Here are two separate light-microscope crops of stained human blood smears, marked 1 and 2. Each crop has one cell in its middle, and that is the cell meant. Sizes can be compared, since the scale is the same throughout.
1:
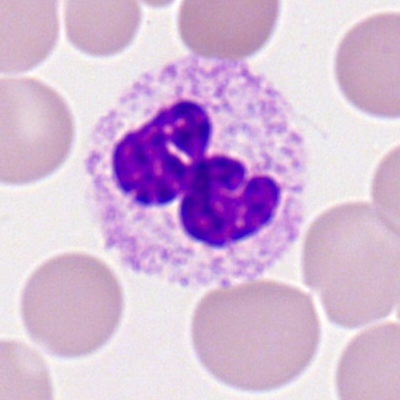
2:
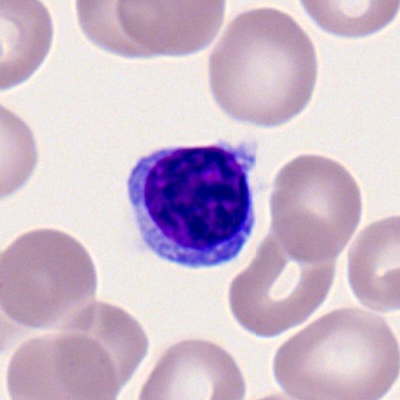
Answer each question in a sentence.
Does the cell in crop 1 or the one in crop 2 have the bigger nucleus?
Larger is the nucleus in crop 1, at roughly 1.5 times the area of the other.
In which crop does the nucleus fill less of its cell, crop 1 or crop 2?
It is the cell in crop 1 that is filled less by its nucleus.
